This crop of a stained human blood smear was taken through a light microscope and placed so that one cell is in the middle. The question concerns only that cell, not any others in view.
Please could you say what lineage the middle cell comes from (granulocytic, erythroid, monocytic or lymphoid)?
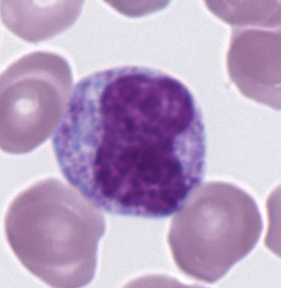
granulocytic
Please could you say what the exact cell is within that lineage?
metamyelocyte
